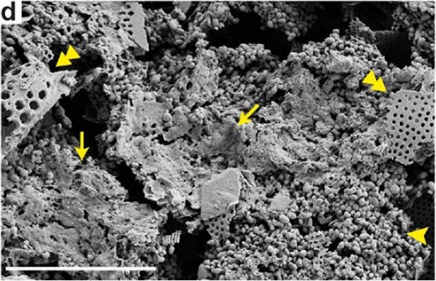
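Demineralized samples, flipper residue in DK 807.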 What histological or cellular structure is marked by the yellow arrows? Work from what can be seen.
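Smooth, amorphous sheet-like matter. The sheets drape over the clusters of small bodies.
Answer: organic matrix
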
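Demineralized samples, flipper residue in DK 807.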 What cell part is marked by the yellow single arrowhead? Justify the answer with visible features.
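Melanosomes. Densely packed small spheroidal to oblong bodies. The bodies are of fairly uniform size and form beaded clusters.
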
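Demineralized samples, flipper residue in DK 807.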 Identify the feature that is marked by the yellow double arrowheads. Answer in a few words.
Diatoms.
